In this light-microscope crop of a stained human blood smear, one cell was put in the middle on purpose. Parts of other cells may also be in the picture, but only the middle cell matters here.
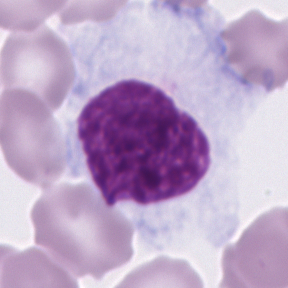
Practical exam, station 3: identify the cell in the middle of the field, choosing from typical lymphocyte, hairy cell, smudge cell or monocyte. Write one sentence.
The cell nearest the centre of this crop is a hairy cell.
